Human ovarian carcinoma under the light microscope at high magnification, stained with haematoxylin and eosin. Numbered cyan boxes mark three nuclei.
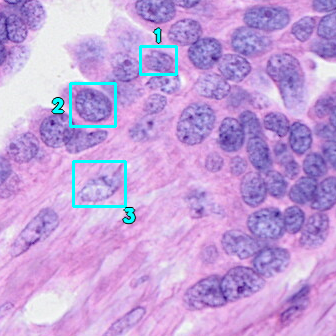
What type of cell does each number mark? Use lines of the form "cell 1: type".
cell 1: carcinoma cell
cell 2: carcinoma cell
cell 3: fibroblast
